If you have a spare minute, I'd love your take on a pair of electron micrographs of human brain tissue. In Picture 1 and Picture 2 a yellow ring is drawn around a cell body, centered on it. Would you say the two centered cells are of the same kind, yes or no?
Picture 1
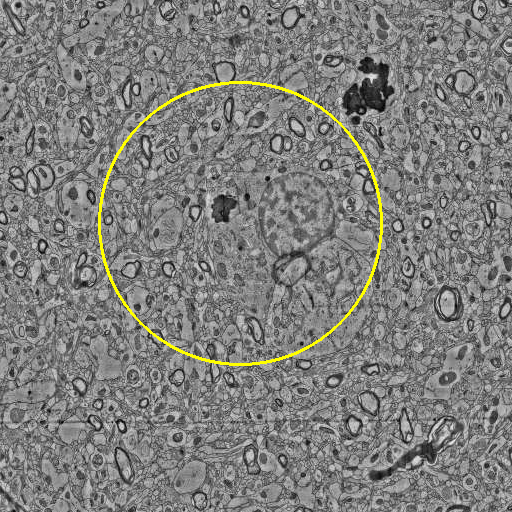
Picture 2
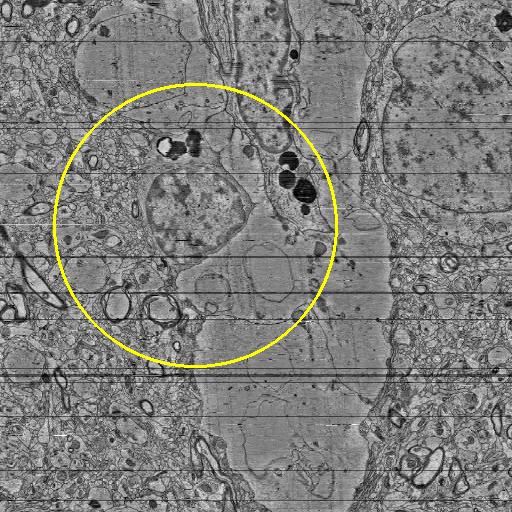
yes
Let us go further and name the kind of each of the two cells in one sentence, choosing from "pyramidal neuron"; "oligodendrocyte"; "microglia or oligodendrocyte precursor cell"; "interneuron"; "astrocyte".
In both pictures the ring is centred on an oligodendrocyte.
